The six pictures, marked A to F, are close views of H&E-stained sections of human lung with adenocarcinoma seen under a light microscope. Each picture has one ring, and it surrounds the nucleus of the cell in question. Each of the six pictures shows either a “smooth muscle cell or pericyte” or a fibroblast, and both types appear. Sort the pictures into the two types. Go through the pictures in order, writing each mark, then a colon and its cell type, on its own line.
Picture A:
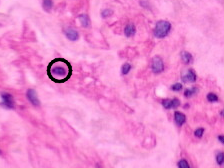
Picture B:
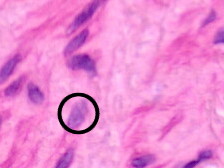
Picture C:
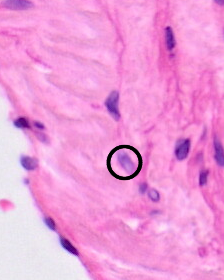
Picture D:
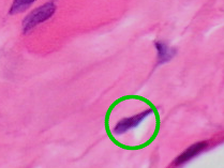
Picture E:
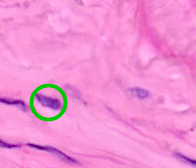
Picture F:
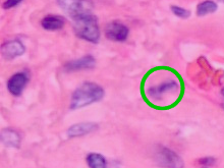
A: smooth muscle cell or pericyte
B: smooth muscle cell or pericyte
C: smooth muscle cell or pericyte
D: fibroblast
E: fibroblast
F: fibroblast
